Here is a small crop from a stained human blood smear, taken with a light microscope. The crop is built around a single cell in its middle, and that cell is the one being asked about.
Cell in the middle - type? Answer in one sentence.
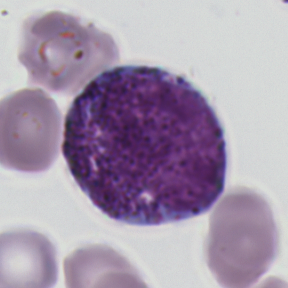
The cell at the heart of this crop is a promyelocyte.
